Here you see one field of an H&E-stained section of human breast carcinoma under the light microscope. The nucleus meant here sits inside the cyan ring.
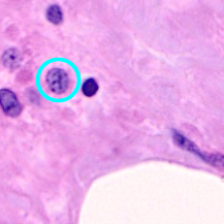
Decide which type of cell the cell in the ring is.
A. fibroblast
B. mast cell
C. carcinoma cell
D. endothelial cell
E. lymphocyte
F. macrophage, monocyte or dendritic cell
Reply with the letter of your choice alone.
B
